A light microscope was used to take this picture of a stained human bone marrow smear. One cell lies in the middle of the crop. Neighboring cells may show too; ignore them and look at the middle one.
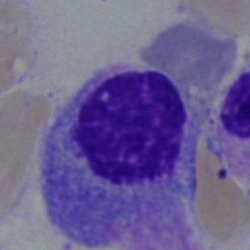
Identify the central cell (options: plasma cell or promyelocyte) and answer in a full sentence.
As for the cell in the middle, it is a plasma cell.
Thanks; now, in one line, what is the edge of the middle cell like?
Edge check done: smooth outline, no projections present.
